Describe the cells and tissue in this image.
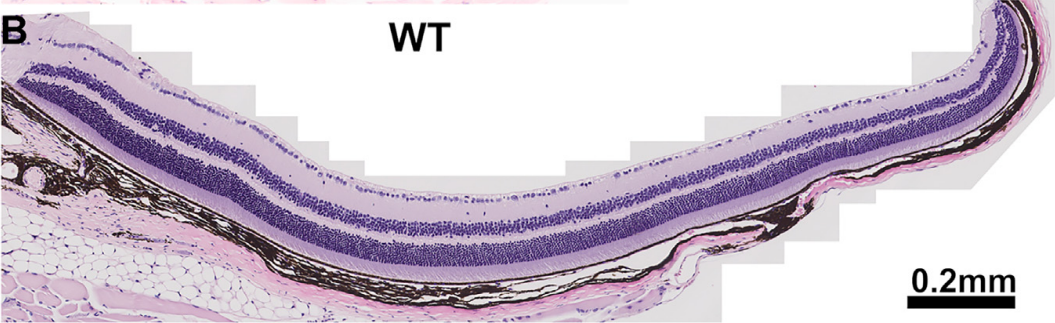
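This is a cross-section of the layered neural retina lying on the pigmented choroid and sclera. From the inner side at the top there is a thin row of sparse purple nuclei, a broad pale pink plexiform band, a band of densely packed nuclei, a thin pale band, and then a thick, dark purple outer nuclear layer made of tightly packed small round photoreceptor nuclei. Beyond it the pale, finely striated photoreceptor segments abut the black-brown pigmented layer at the outer side. All layers become thinner toward the periphery at the right end.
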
